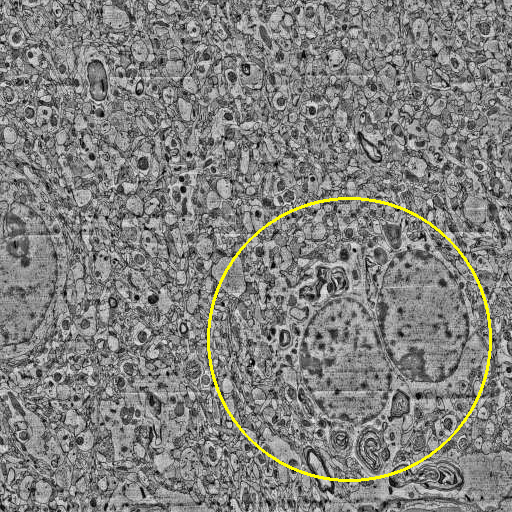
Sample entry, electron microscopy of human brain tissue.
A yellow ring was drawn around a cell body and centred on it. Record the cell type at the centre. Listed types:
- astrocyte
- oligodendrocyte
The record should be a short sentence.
The cell at the ring's centre is an astrocyte.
